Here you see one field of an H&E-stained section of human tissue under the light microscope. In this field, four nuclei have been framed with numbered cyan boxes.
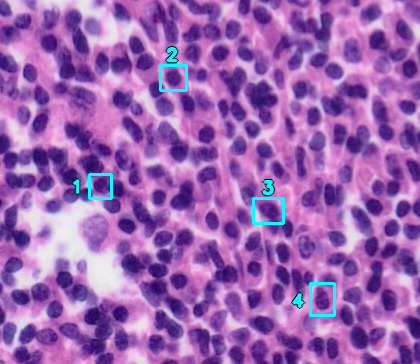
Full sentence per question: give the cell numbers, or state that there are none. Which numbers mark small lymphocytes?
Just one of the numbered cells is a small lymphocyte, namely number 1.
